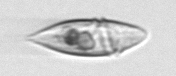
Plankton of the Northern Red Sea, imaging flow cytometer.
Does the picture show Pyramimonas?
No, it shows Gyrodinium.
